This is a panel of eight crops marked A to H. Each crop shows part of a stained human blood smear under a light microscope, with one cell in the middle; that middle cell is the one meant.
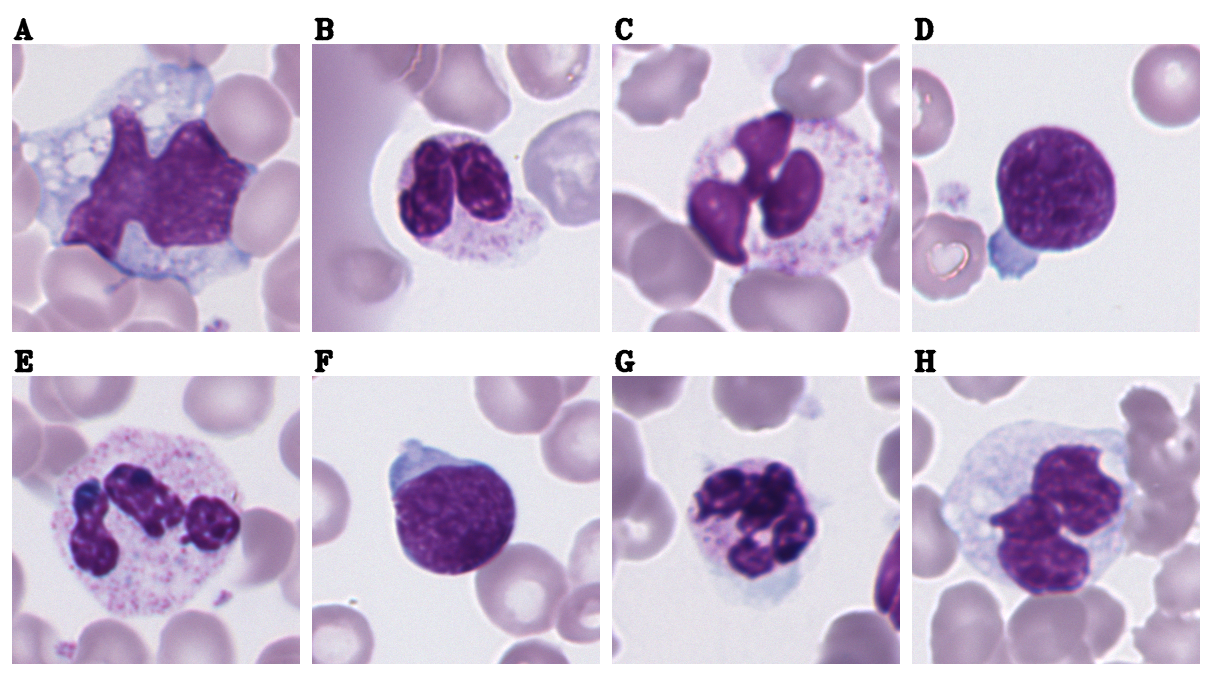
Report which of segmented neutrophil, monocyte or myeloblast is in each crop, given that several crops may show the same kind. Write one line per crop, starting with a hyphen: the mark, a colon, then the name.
- A: monocyte
- B: segmented neutrophil
- C: segmented neutrophil
- D: myeloblast
- E: segmented neutrophil
- F: myeloblast
- G: segmented neutrophil
- H: monocyte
